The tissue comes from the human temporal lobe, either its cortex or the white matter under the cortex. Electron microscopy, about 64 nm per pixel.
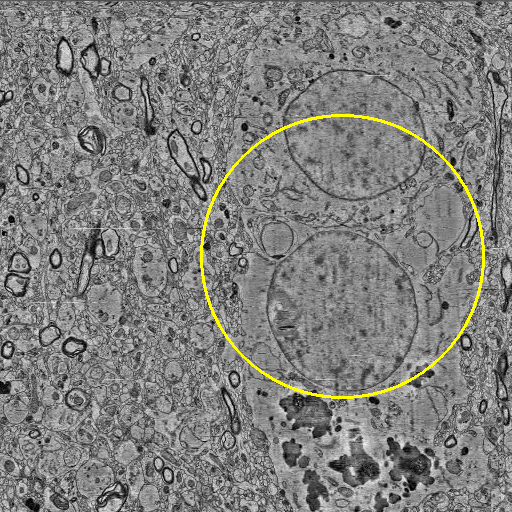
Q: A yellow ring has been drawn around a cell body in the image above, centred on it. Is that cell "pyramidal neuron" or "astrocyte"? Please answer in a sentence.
The ring surrounds the cell body of an astrocyte.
